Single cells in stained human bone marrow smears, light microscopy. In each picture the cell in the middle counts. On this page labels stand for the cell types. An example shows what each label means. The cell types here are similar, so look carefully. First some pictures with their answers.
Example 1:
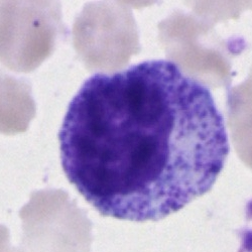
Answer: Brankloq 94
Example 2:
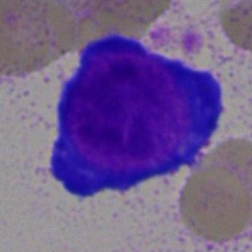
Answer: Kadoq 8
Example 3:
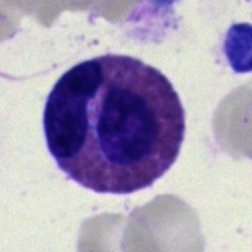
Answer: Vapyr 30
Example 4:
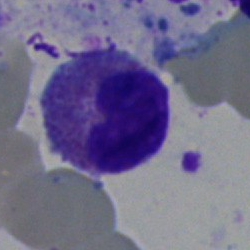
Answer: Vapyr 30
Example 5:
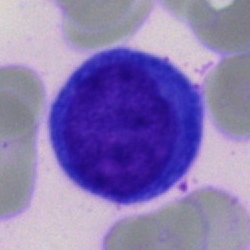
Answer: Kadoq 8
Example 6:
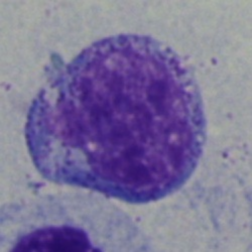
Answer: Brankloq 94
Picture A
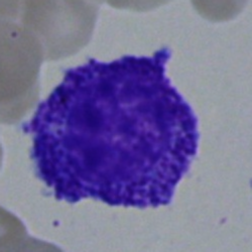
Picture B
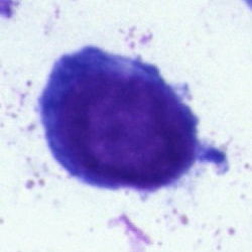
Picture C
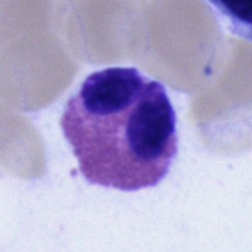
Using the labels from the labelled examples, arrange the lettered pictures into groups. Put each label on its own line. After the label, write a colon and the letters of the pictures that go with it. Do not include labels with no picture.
Brankloq 94: A
Kadoq 8: B
Vapyr 30: C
